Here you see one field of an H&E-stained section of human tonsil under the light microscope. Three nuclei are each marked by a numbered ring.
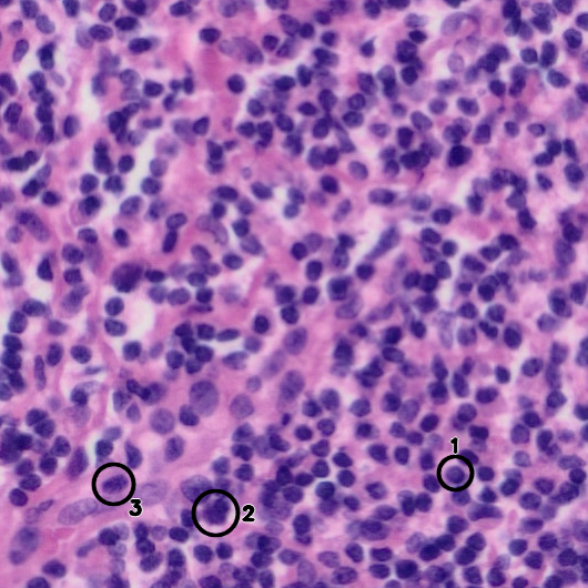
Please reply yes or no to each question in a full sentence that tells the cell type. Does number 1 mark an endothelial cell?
No, the cell carrying number 1 is a small lymphocyte rather than an endothelial cell.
